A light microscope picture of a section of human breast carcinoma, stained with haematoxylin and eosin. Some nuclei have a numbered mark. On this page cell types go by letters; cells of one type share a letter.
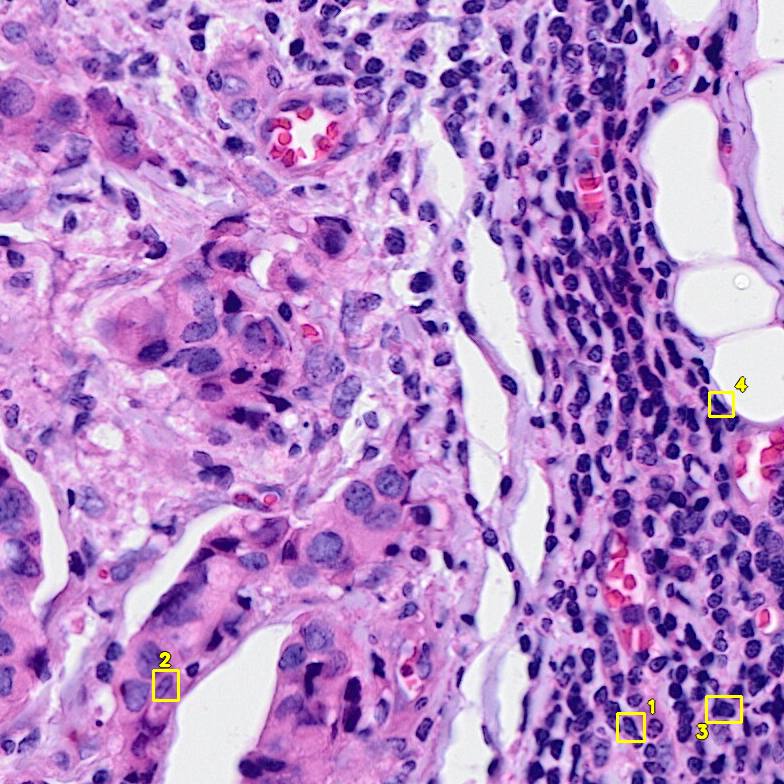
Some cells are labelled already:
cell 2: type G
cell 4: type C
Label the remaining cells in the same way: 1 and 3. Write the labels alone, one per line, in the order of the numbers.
type C
type C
